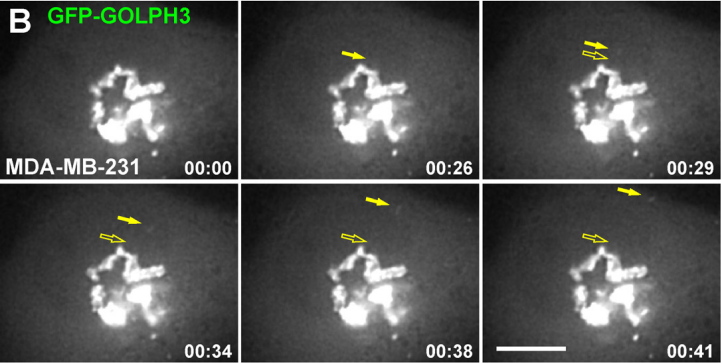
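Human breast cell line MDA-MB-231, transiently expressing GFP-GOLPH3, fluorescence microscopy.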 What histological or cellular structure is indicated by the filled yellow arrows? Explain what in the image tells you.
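Vesicular structure. A small bright dot lies at the tip of the filled arrows. The dot sits progressively farther from the bright central ribbon in later frames.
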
